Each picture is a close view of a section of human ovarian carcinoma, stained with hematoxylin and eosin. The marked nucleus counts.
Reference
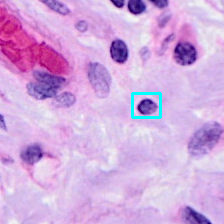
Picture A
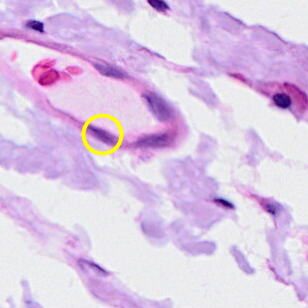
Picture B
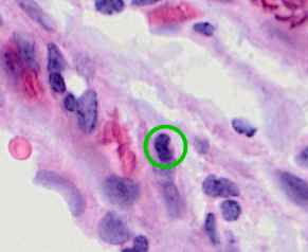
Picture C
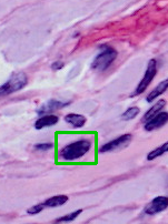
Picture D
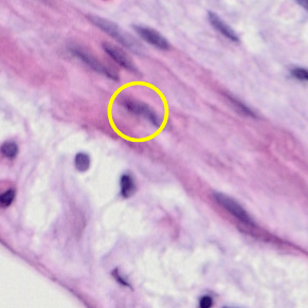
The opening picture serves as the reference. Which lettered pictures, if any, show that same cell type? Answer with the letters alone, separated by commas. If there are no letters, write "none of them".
B, C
